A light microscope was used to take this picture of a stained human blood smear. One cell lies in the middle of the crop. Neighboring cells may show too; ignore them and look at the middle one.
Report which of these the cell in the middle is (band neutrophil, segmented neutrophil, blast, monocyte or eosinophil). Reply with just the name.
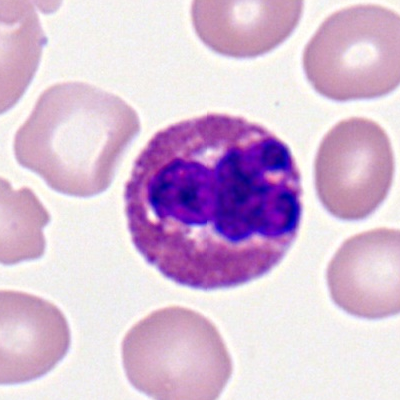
eosinophil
